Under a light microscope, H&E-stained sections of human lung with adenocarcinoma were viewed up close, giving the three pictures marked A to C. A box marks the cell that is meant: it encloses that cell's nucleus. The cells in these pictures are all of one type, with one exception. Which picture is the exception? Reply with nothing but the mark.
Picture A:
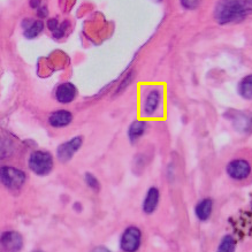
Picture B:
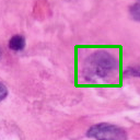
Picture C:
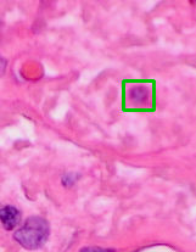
B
